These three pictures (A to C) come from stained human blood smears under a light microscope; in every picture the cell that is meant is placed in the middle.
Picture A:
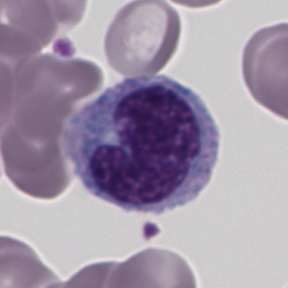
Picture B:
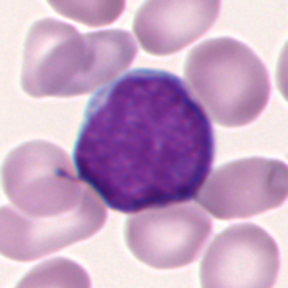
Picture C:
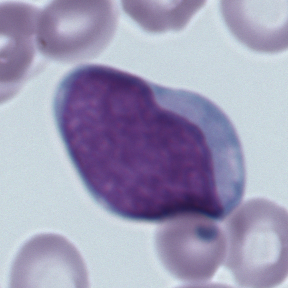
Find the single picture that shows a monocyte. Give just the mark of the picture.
A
